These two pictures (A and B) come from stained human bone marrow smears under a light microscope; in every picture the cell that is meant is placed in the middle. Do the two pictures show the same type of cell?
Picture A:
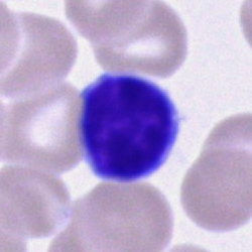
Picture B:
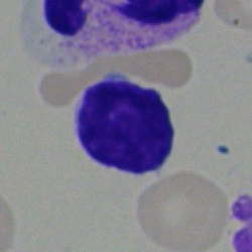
yes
